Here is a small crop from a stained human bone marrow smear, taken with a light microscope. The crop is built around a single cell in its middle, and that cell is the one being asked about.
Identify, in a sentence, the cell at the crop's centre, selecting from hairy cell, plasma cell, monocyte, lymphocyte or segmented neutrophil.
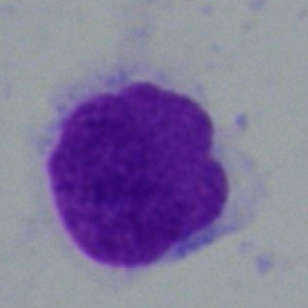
The central cell in this smear crop is a hairy cell.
